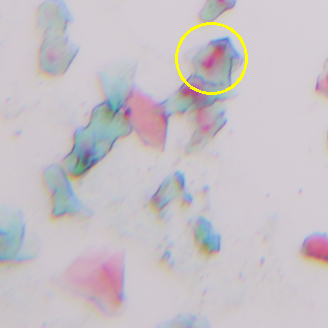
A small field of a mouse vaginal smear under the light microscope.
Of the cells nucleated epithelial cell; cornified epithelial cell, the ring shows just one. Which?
The ring shows a nucleated epithelial cell.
